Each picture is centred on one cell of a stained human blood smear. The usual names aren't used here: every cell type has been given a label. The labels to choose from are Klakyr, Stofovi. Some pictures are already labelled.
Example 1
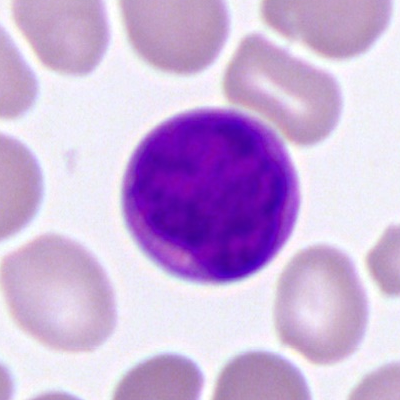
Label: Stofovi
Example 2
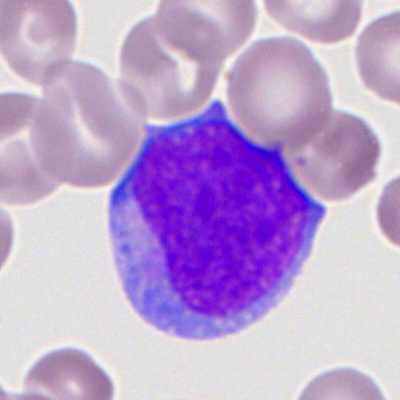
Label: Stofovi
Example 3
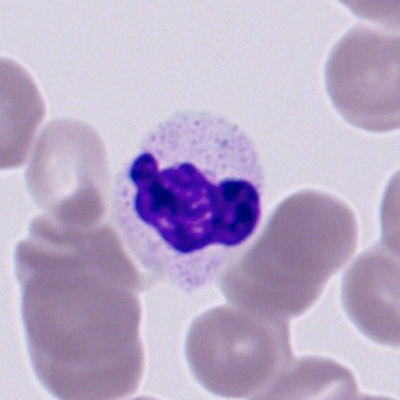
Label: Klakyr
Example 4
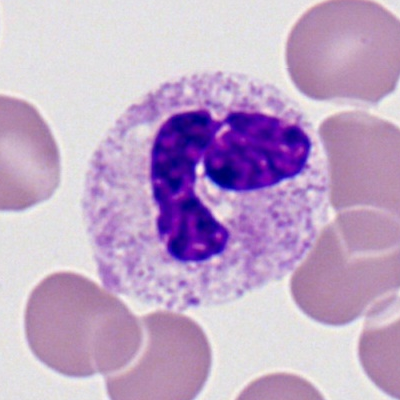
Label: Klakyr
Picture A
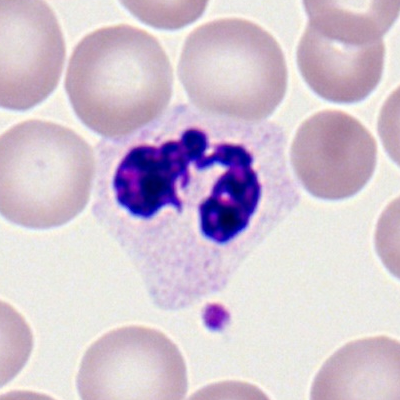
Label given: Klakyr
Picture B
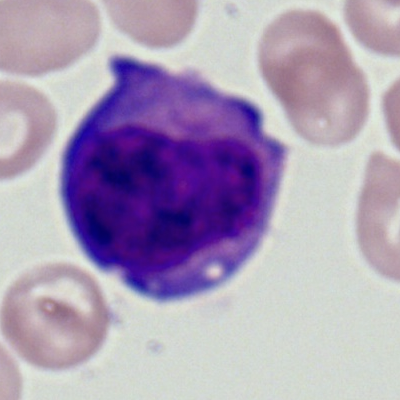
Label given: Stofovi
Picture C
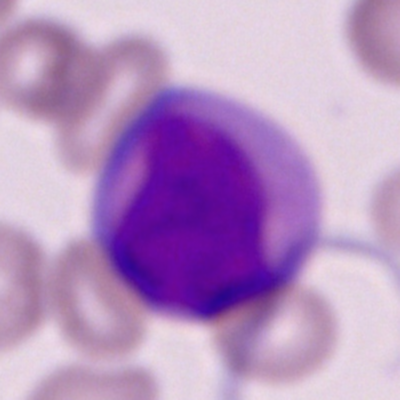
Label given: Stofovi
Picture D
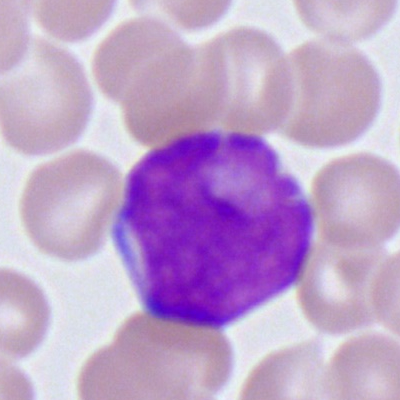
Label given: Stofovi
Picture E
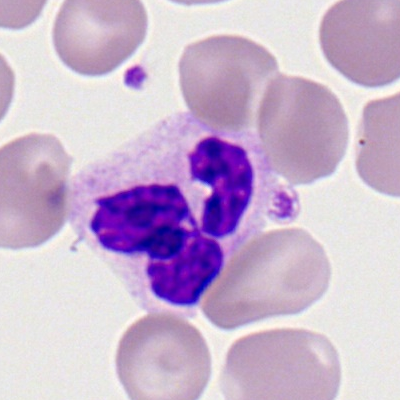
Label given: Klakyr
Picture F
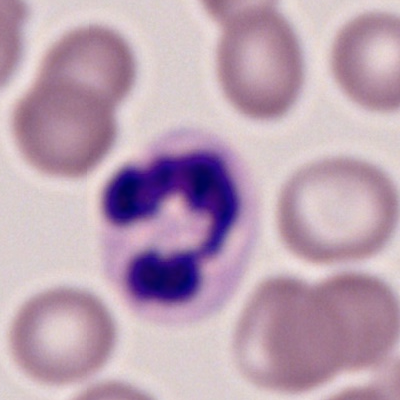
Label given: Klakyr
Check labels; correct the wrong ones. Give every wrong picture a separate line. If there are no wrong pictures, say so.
Every label is right.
